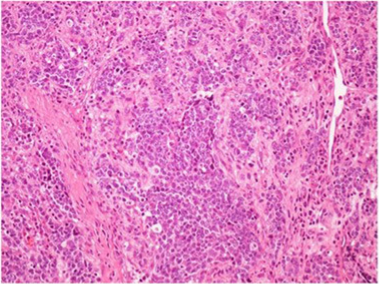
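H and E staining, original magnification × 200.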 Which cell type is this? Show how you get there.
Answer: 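Sheets of small cells with round dark nuclei of similar size.
Conclusion: uniform small round cells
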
